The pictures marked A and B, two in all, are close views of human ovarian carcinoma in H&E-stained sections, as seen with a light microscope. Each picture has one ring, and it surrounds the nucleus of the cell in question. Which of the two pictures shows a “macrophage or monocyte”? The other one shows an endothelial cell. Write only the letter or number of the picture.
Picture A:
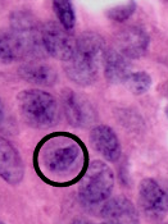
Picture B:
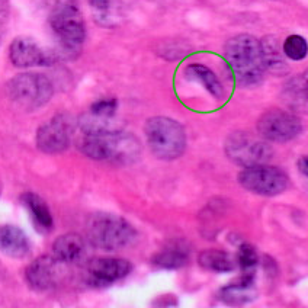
A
